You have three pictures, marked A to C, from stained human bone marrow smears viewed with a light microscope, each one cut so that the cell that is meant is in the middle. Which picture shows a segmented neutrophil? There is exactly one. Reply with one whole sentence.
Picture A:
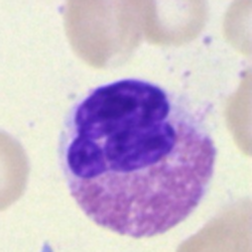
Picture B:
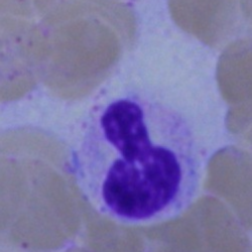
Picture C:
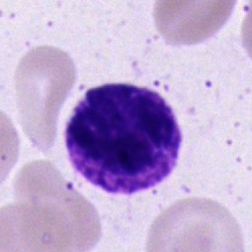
It is picture B that shows the segmented neutrophil.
